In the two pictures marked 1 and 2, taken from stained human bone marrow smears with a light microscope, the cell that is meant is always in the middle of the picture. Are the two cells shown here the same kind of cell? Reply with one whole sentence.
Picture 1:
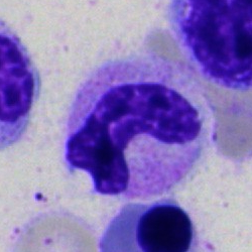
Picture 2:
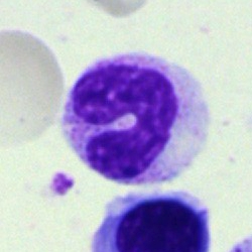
Yes, both are band neutrophils.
